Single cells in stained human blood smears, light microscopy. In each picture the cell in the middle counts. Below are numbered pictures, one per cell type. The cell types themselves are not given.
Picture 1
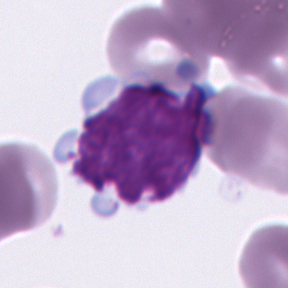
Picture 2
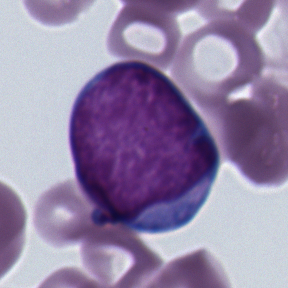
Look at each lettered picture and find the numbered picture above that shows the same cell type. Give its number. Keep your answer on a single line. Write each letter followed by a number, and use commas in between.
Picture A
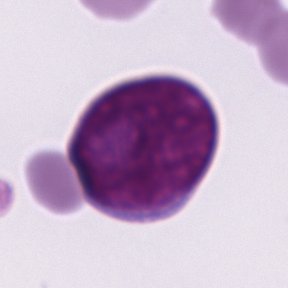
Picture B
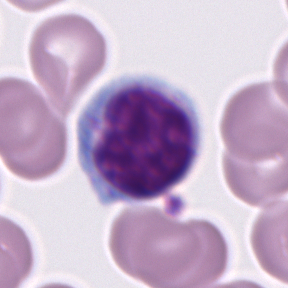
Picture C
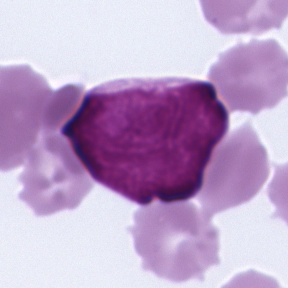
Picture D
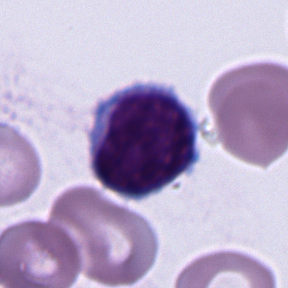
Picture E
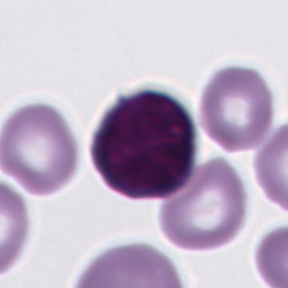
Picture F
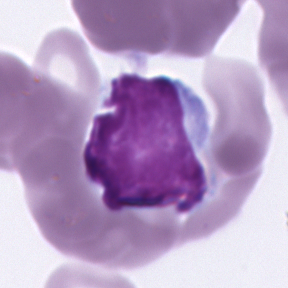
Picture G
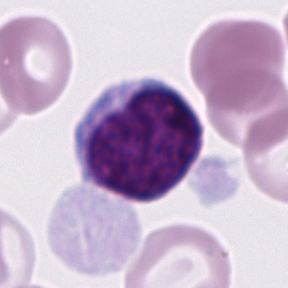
A 2, B 1, C 2, D 1, E 2, F 1, G 1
